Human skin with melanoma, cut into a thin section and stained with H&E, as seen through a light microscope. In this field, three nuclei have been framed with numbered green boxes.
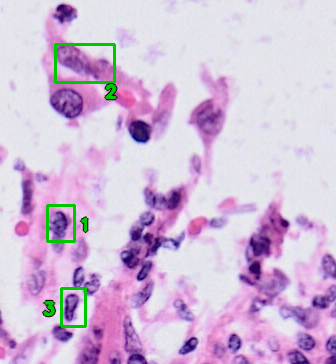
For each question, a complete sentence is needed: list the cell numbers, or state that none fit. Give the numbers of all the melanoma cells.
Of the marked cells, the one numbered 2 is a melanoma cell and the rest are not.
